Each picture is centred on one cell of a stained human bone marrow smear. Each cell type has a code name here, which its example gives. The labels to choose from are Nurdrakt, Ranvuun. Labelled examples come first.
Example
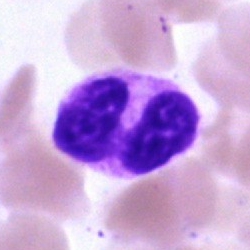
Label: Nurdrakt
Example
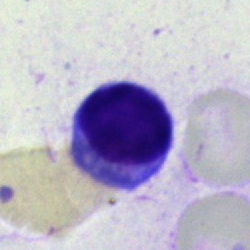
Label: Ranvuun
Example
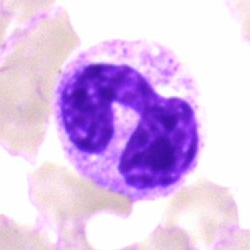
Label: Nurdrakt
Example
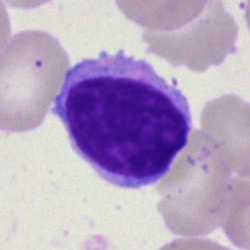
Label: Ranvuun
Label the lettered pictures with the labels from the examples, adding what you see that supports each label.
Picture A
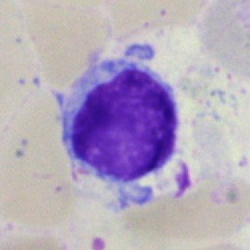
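Label: Ranvuun. The cytoplasm forms only a scant rim around the nucleus.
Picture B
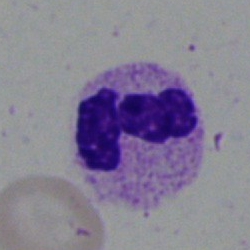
Label: Nurdrakt. The cytoplasm is abundant and pale pinkish-lilac.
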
